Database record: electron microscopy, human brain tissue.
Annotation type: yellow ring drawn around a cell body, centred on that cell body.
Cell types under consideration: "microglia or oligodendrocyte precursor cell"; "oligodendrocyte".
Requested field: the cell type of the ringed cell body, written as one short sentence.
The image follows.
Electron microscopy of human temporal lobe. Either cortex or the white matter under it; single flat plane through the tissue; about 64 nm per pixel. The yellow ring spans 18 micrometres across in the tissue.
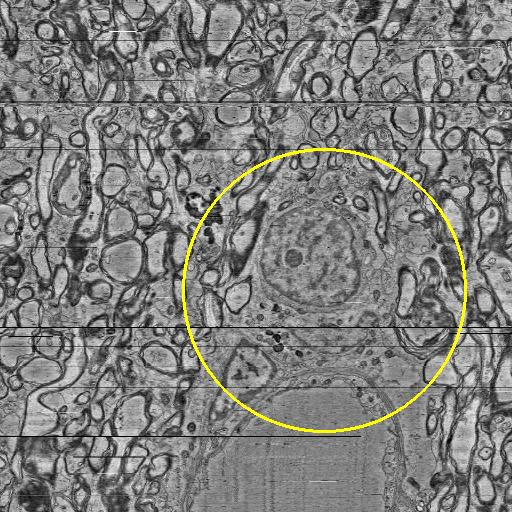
The ringed cell body represents an oligodendrocyte.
